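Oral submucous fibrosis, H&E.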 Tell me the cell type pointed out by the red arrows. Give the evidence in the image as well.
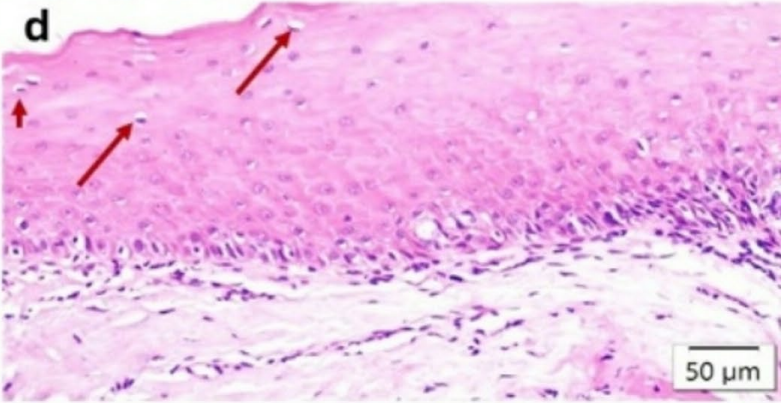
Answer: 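The arrows point to cells in the upper epithelium with a clear vacuole. These cells are scattered among pink squamous cells.
Answer: signet cells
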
